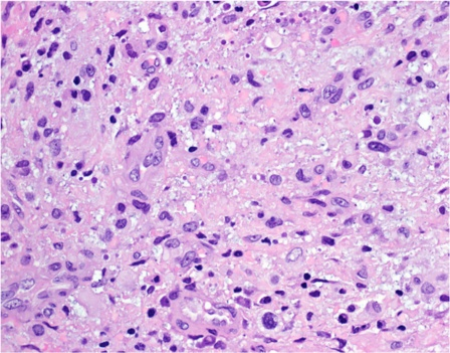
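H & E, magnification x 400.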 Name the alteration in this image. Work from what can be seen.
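Some oval nuclei have pale, open chromatin with small nucleoli. Other nuclei are small, dark and dense. Nuclei vary in size and staining intensity. On this evidence: vesicular to hyperchromatic nuclei.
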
